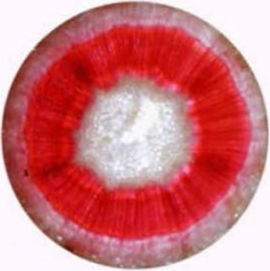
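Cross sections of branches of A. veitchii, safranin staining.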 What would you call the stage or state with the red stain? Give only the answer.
Hydraulically intact regions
